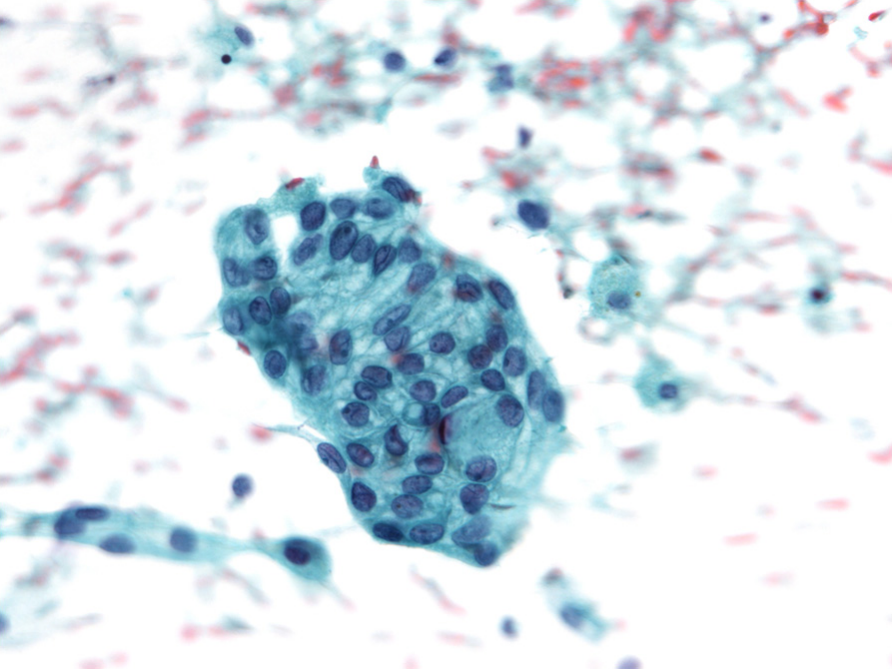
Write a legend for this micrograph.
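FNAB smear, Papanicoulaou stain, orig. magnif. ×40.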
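A cohesive, flat cluster of rather uniform, medium-sized cells lies at the centre. Their nuclei are oval and dark blue, with only slight variation in size, and are fairly evenly spaced within the cluster. The cytoplasm is moderate to fairly abundant. It stains pale blue-green and has a vacuolated, lacy texture. Fine cell borders can be made out between neighbouring cells. A few single cells with similar nuclei and blue-green cytoplasm lie scattered nearby. At the lower left there is an elongated strand of cells. The background holds wispy pink-red and blue-green material.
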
